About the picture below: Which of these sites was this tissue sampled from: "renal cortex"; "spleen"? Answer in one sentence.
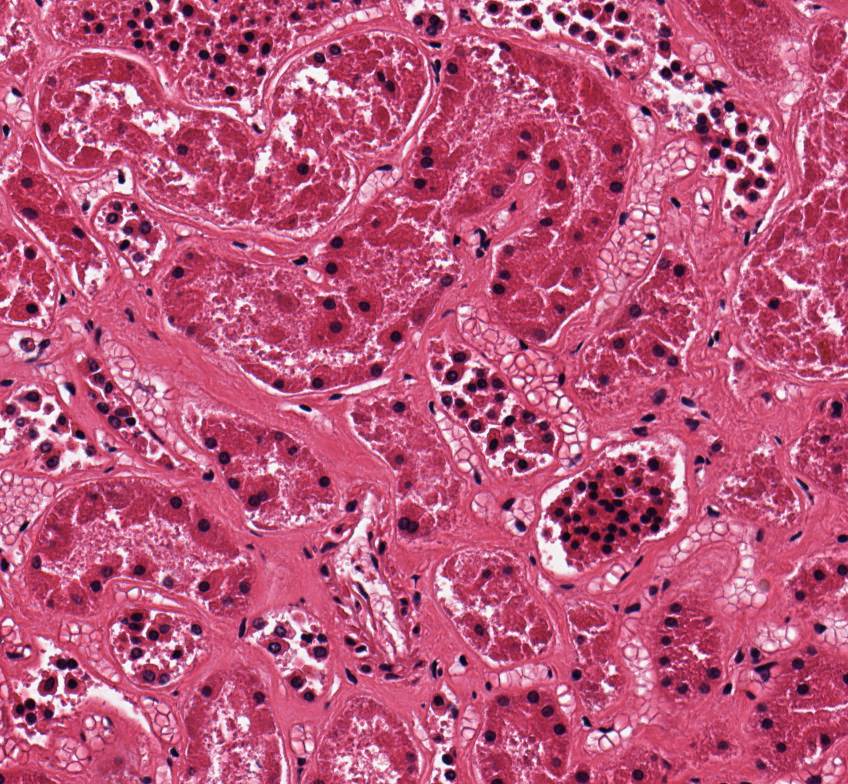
The site this tissue was sampled from is the renal cortex.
